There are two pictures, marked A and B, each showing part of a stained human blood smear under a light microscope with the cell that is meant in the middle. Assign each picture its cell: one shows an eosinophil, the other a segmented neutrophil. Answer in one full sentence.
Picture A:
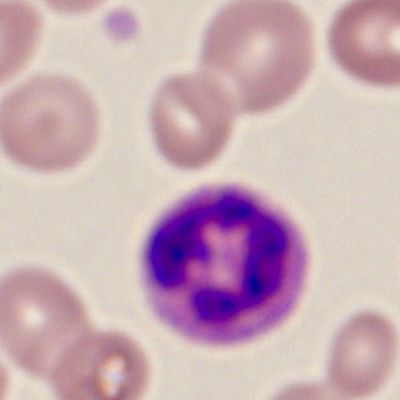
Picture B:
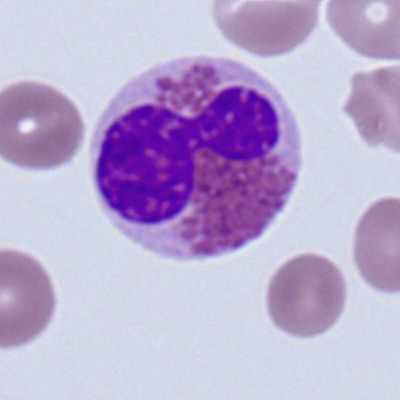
In picture A the cell is a segmented neutrophil; in picture B, an eosinophil.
